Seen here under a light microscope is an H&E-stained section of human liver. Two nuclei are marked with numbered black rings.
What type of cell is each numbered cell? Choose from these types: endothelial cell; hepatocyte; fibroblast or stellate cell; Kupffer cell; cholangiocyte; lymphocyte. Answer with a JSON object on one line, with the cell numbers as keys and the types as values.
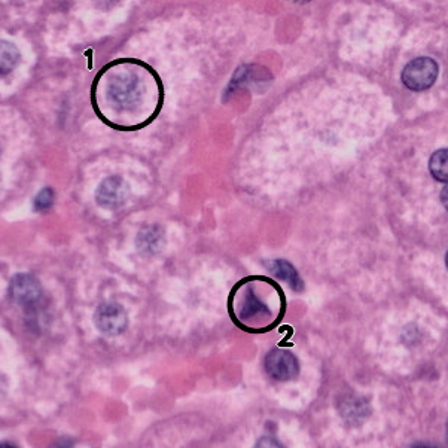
{"1": "hepatocyte", "2": "endothelial cell"}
